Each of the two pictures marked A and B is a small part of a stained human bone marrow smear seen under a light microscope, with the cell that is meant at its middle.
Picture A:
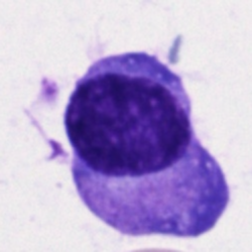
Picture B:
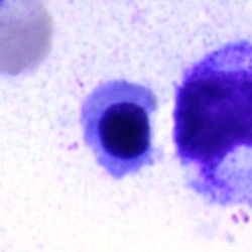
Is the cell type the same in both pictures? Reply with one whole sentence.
No, the types are not the same, since picture A shows a plasma cell and picture B an erythroblast.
